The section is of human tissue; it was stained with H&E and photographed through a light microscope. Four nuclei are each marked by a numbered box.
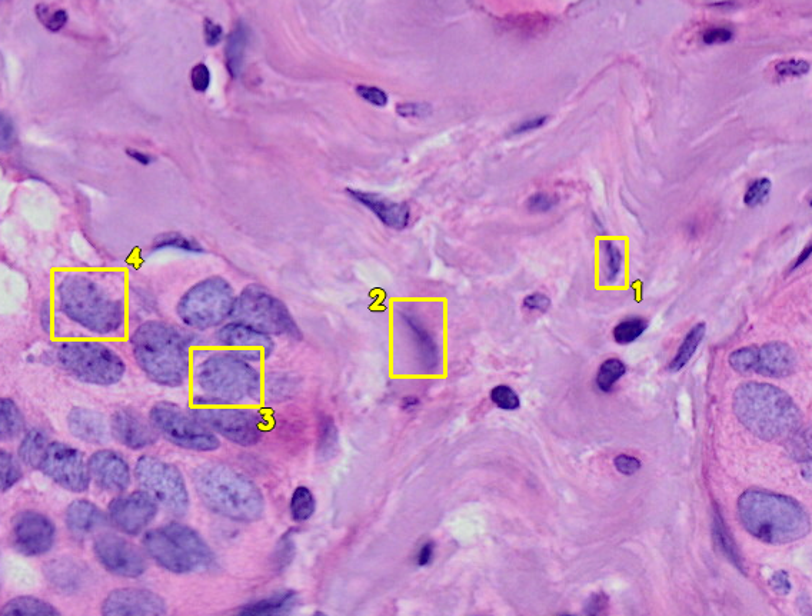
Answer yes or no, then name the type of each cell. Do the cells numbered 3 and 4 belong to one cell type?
Yes, cell 3 and cell 4 are both carcinoma cells.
